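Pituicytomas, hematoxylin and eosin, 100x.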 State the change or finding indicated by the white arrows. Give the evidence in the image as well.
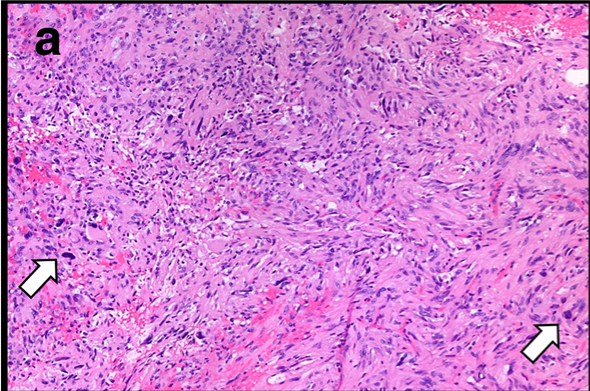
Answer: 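Atypical nuclei. The arrows point to enlarged, darkly stained nuclei. These nuclei are larger and more irregular than the surrounding spindle-cell nuclei.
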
